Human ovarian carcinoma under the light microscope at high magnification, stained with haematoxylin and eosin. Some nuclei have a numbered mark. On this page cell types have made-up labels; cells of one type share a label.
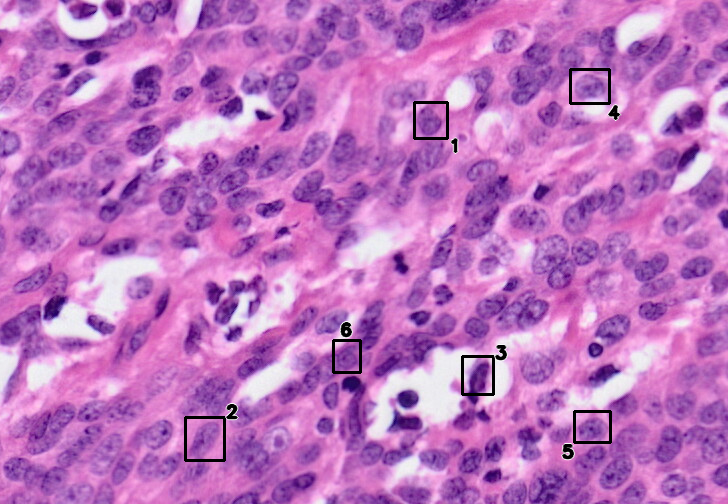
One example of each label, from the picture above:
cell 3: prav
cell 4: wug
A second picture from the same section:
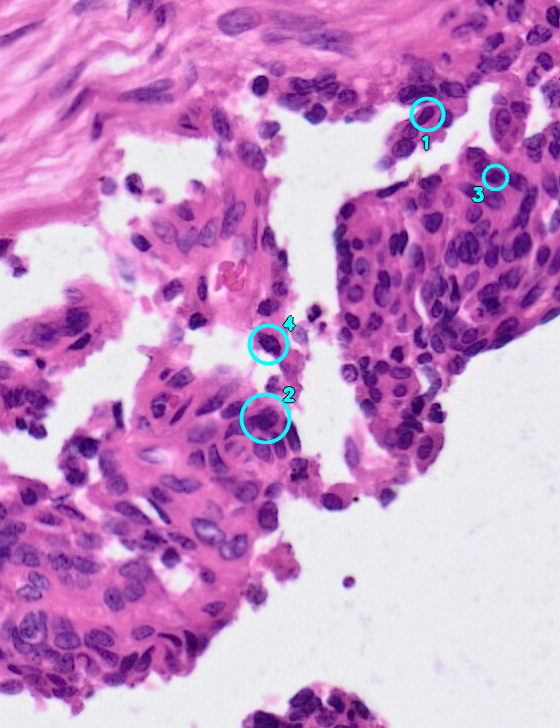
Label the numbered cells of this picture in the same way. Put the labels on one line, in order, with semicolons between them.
prav; prav; prav; wug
